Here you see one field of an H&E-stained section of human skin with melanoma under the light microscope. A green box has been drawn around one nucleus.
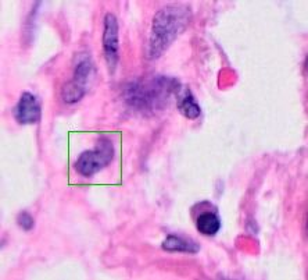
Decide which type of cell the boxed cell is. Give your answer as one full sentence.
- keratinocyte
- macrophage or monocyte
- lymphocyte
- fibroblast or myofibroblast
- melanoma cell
Considered by cell type, the boxed cell is a macrophage or monocyte.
